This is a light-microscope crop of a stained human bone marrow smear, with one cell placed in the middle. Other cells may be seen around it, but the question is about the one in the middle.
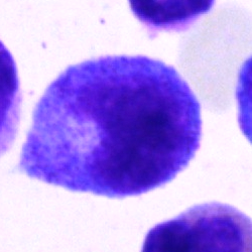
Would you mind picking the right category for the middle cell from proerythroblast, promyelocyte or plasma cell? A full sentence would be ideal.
Centred in the crop is a promyelocyte.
